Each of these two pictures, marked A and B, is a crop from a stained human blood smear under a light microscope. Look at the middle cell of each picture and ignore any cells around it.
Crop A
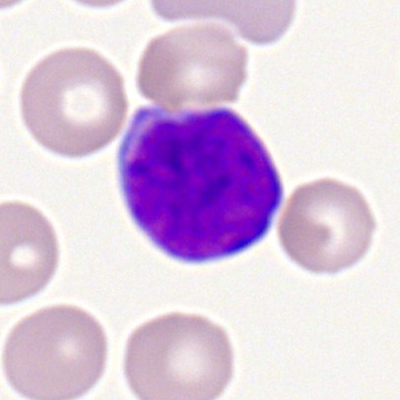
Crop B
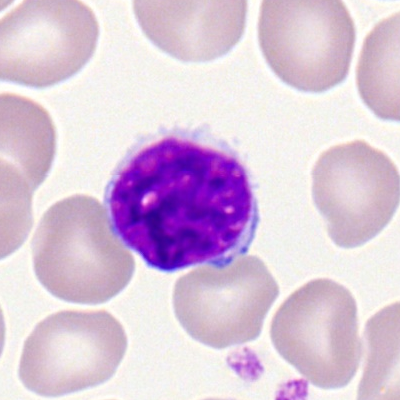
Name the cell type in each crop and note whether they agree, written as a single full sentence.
No, as for crop A, it shows a blast, and crop B shows a lymphocyte.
